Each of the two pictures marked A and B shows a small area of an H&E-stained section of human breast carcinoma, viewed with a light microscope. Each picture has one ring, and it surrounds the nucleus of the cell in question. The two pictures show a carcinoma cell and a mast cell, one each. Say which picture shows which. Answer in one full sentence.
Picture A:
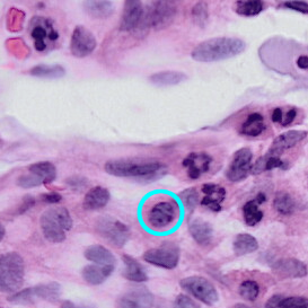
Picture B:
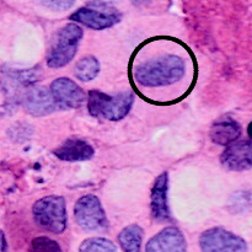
Picture A is of a mast cell, and picture B is of a carcinoma cell.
